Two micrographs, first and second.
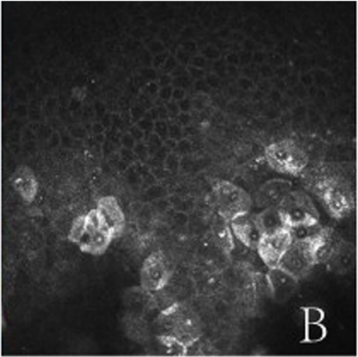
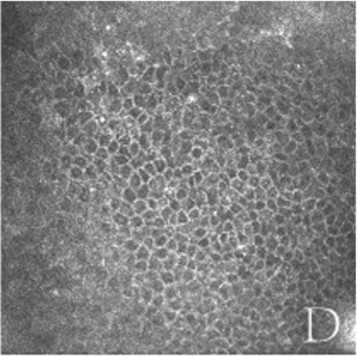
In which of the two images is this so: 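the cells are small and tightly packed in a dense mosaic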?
The second image.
